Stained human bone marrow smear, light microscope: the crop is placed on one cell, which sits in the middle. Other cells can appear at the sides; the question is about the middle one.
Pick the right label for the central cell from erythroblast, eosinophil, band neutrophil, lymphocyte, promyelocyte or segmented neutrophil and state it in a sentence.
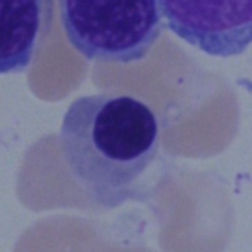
As for the cell in the middle, it is an erythroblast.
